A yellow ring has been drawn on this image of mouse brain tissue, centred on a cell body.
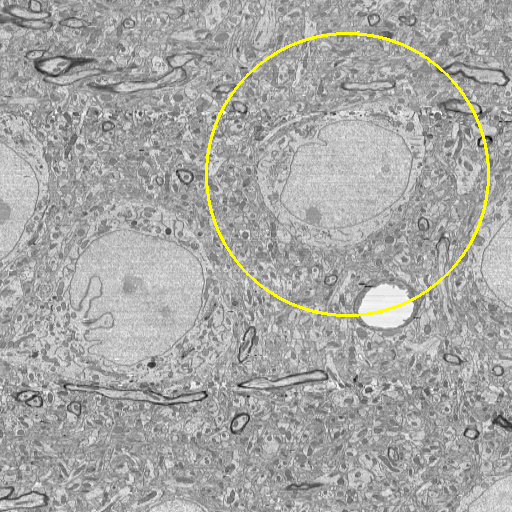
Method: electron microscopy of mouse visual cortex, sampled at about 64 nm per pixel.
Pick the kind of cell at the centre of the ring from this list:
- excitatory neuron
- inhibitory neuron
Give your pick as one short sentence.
The centre of the ring holds an excitatory neuron.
